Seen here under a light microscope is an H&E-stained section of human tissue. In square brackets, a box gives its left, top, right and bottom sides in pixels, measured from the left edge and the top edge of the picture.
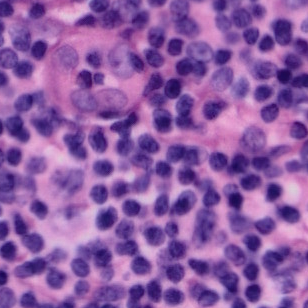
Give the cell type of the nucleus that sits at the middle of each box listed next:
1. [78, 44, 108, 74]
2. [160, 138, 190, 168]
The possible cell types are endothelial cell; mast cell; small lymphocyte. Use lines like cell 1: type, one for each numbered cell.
cell 1: endothelial cell
cell 2: small lymphocyte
